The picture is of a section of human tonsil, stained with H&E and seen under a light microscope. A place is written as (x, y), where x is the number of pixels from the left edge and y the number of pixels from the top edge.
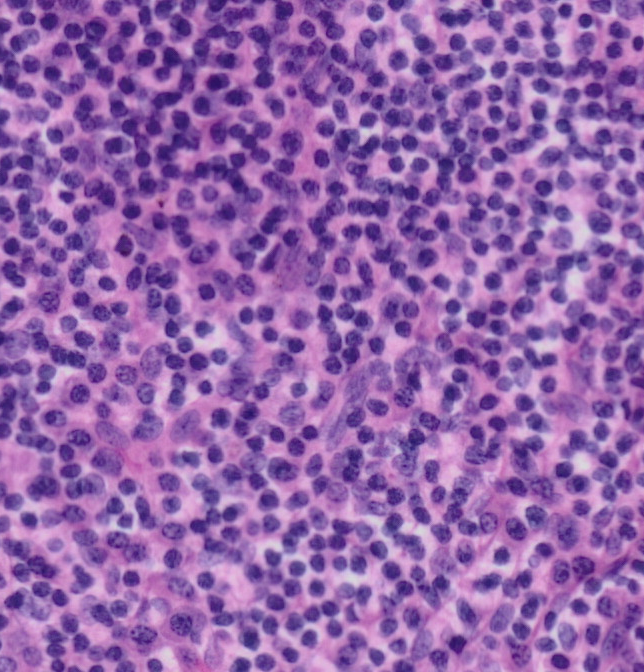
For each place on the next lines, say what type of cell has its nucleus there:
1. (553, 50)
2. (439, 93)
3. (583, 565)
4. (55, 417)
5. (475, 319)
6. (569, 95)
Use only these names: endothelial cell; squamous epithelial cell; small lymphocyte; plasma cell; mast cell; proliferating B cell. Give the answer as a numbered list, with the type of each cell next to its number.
1. small lymphocyte
2. small lymphocyte
3. plasma cell
4. plasma cell
5. small lymphocyte
6. small lymphocyte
